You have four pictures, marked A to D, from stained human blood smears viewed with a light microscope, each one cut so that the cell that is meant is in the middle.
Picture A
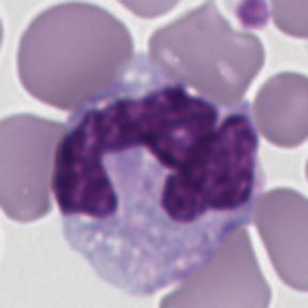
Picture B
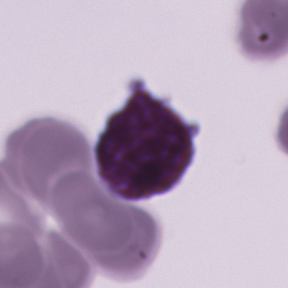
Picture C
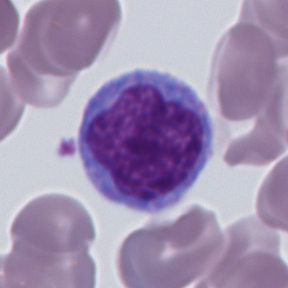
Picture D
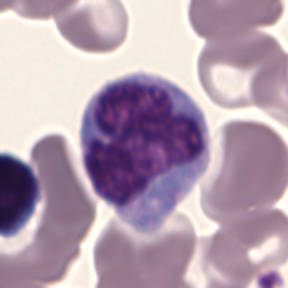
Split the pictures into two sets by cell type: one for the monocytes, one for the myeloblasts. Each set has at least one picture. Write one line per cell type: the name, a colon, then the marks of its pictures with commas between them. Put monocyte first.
monocyte: A, C, D
myeloblast: B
